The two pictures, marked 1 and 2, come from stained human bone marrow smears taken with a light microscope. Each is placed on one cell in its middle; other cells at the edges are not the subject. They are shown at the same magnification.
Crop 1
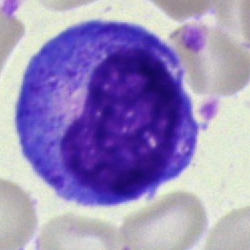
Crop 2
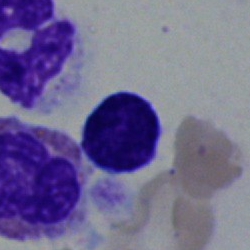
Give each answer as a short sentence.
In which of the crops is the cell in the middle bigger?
Crop 1 holds the larger cell; it covers about 4 times the area of the cell in crop 2.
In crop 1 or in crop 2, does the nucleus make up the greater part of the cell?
Of the two, the nucleus in crop 2 makes up the greater part of its cell.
